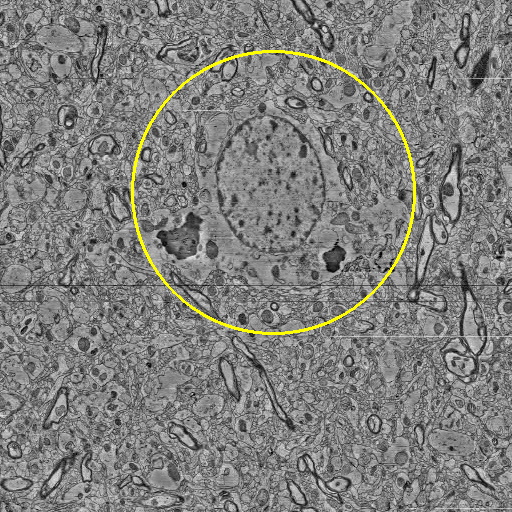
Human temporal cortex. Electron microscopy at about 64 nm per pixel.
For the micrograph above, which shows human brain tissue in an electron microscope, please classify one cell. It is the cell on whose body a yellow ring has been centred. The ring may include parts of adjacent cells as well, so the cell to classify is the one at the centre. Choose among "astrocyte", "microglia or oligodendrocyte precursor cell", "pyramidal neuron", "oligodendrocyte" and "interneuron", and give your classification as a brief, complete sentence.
I classify this cell as an astrocyte.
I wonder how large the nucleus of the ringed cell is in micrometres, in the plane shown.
In this plane the nucleus measures roughly 9 by 7 micrometers.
